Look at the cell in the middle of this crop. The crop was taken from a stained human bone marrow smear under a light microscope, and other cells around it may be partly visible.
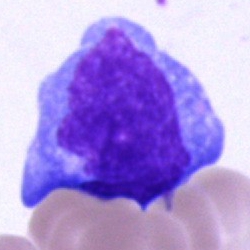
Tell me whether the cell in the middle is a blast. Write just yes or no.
yes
